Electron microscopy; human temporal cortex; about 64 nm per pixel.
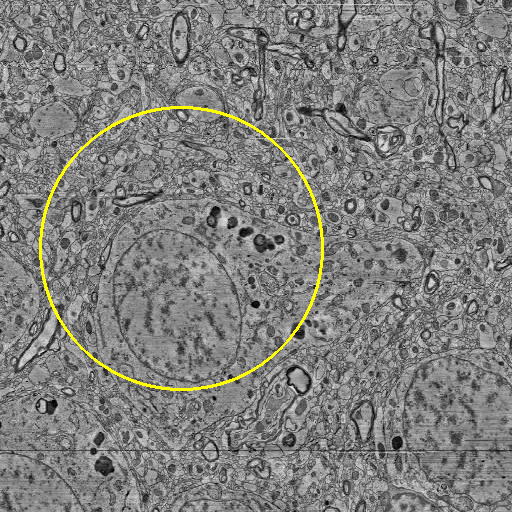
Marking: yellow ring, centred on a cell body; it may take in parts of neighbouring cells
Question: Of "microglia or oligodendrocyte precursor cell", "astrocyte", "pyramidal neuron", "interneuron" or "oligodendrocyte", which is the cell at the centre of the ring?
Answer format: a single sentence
The ring surrounds the body of a pyramidal neuron.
